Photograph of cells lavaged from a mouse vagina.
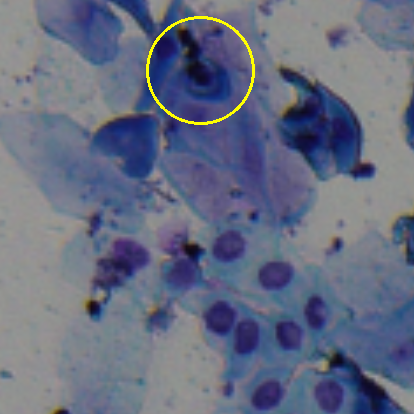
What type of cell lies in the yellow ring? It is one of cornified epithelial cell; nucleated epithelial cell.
The ringed cell is a cornified epithelial cell.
